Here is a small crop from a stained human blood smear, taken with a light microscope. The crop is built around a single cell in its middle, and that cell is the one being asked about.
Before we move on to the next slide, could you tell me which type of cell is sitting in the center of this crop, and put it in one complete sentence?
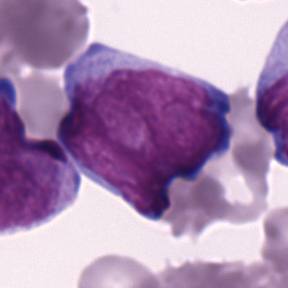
To answer, the cell in the center of the crop is a blast.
